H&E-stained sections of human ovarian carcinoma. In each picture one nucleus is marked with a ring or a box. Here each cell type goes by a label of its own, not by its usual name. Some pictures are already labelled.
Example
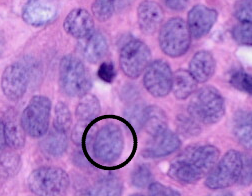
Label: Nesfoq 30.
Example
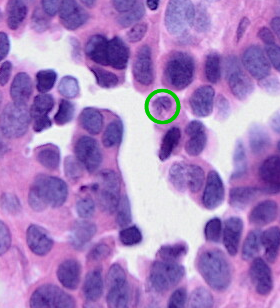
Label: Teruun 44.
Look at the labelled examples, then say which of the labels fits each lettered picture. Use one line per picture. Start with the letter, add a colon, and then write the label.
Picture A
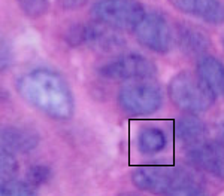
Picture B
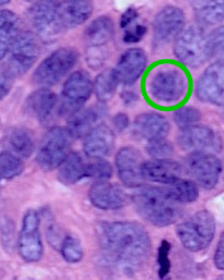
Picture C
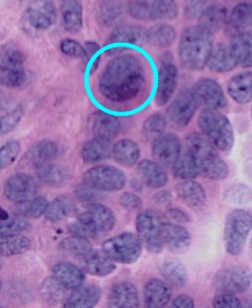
A: Teruun 44.
B: Nesfoq 30.
C: Nesfoq 30.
